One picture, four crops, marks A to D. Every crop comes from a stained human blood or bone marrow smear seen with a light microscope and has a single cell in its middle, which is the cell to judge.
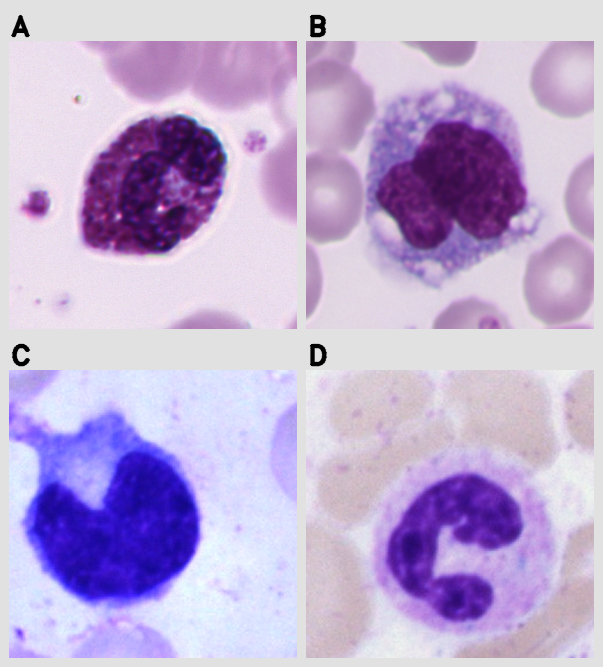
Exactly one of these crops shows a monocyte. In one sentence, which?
Of the cells presented, the one in crop B is a monocyte.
